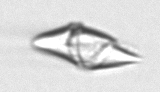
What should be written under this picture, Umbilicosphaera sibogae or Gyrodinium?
Gyrodinium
